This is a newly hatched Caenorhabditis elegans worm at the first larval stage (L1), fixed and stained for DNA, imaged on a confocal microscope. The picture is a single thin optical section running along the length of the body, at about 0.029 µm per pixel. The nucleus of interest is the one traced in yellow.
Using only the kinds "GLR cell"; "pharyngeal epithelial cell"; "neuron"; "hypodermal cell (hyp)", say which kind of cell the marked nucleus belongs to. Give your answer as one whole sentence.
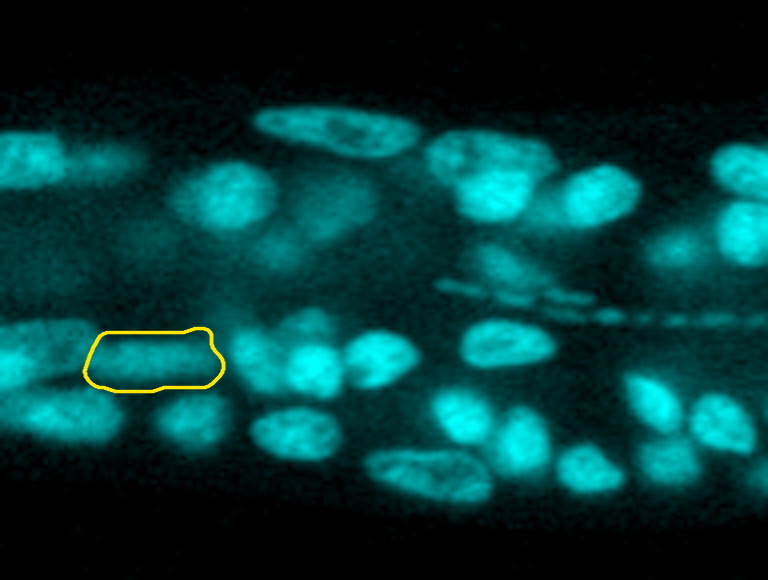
This is the nucleus of a pharyngeal epithelial cell.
